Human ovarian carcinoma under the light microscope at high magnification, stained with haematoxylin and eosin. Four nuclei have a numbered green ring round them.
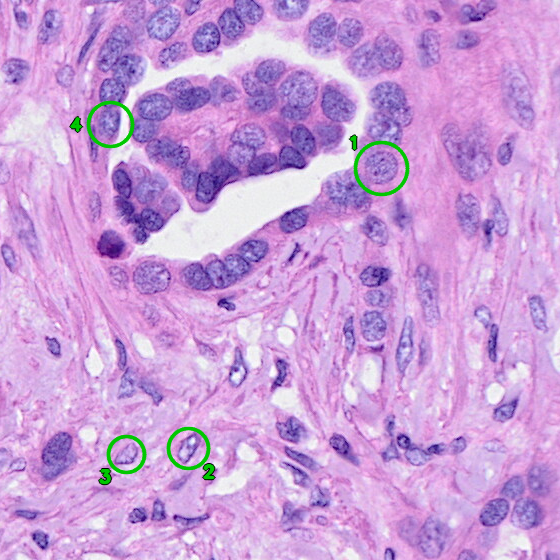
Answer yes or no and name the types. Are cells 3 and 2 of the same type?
Yes, and to be precise, cells 3 and 2 are both fibroblasts.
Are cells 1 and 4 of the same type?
Yes, in the case of cells 1 and 4, both are carcinoma cells.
